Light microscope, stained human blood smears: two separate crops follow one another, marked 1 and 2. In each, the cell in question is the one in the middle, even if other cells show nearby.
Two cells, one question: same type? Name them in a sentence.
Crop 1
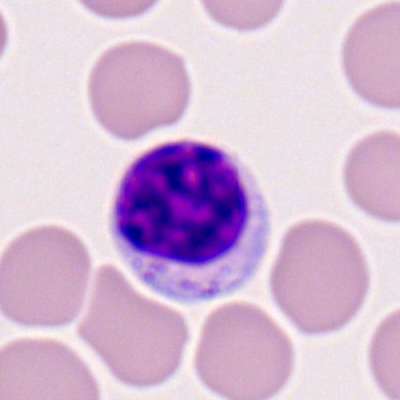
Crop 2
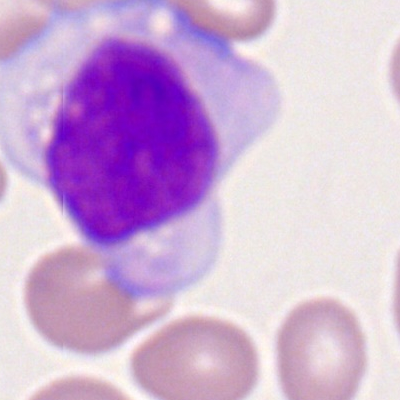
No, as for crop 1, it shows a lymphocyte, and crop 2 shows a monocyte.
